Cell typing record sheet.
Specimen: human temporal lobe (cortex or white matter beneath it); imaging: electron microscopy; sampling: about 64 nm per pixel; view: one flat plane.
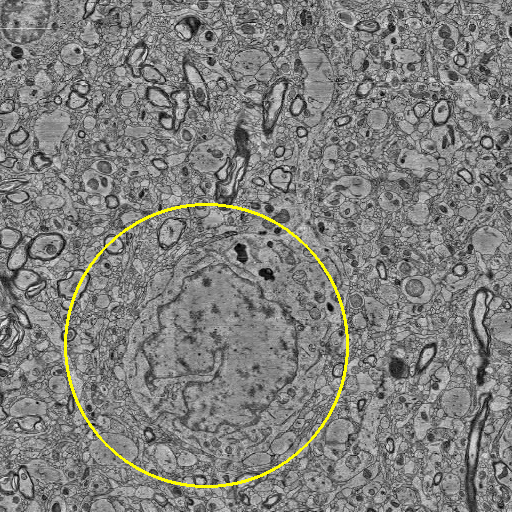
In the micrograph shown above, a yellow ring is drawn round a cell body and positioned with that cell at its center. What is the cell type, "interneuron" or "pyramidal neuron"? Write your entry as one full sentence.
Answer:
The cell body at the center of the ring belongs to an interneuron.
